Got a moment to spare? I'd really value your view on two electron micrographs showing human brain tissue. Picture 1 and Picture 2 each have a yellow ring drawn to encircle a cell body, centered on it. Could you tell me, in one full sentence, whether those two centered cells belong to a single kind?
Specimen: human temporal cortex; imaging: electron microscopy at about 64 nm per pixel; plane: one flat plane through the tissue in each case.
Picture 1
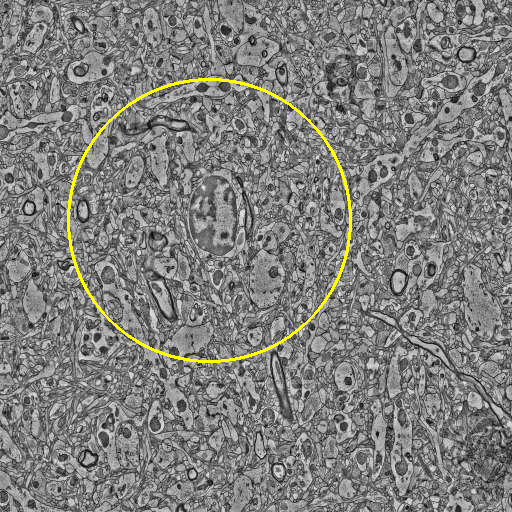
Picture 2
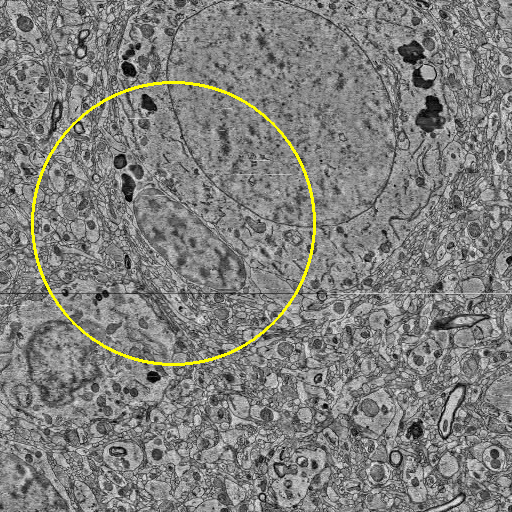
Yes, the two centered cells in Picture 1 and Picture 2 are of a single kind.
